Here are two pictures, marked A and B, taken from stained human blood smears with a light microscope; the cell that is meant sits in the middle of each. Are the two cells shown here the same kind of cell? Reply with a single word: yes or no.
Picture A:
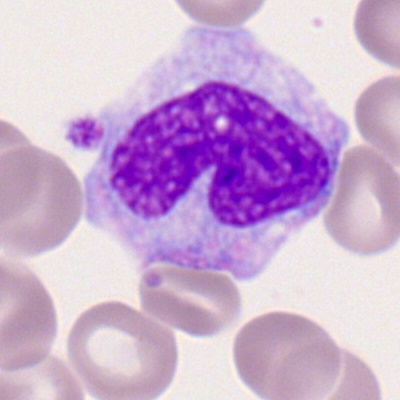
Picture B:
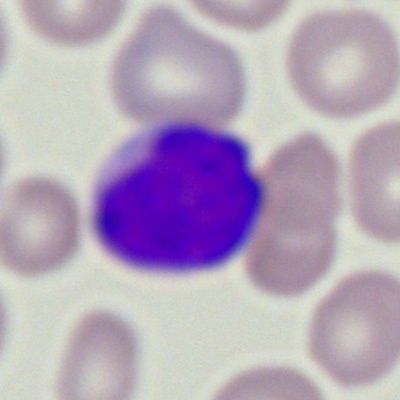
no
